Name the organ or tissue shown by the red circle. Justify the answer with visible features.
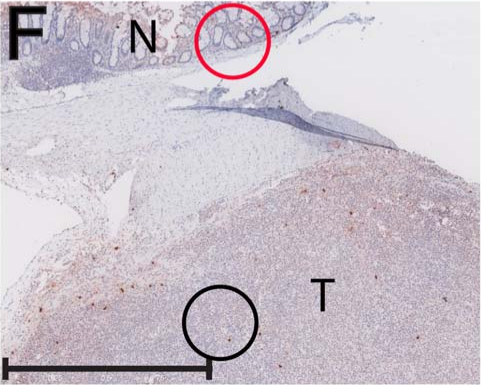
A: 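The circled area contains regular tubular crypts lined by columnar epithelium. The crypts lie in a row along the mucosal surface. The answer: normal colonic epithelium.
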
